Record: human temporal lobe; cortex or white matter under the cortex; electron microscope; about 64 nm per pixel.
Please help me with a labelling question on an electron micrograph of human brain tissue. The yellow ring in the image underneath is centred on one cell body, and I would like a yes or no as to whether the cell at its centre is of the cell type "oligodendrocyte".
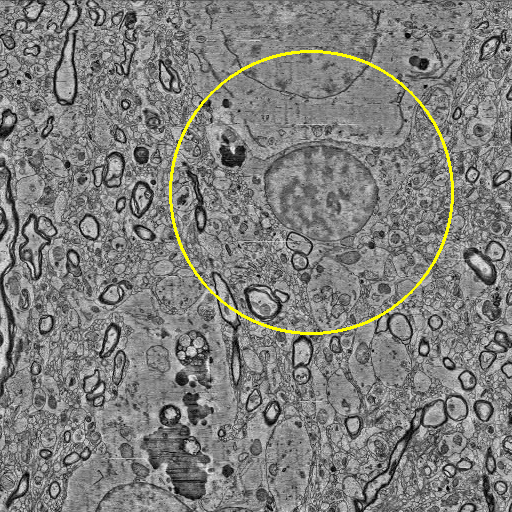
yes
